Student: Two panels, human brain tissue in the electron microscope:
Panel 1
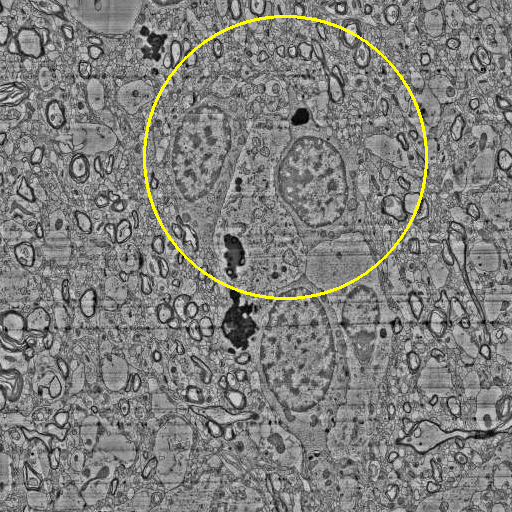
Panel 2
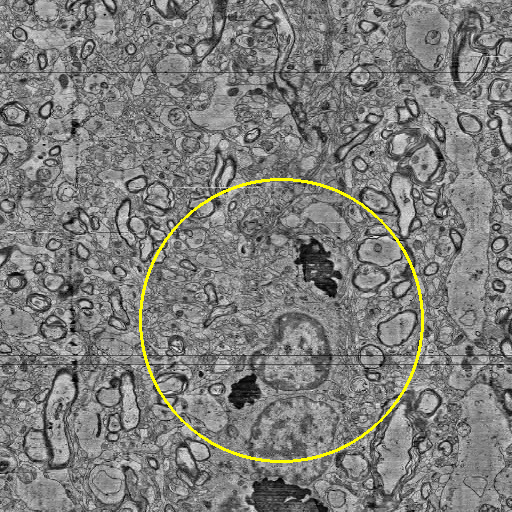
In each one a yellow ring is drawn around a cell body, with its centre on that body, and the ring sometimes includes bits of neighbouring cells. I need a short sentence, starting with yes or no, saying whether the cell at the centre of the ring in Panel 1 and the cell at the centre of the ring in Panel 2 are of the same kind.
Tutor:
Yes, they are the same kind of cell.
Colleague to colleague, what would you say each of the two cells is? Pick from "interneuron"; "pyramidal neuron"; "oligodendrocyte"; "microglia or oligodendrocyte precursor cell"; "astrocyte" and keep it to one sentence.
Both the first and the second picture show an oligodendrocyte in the ring.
